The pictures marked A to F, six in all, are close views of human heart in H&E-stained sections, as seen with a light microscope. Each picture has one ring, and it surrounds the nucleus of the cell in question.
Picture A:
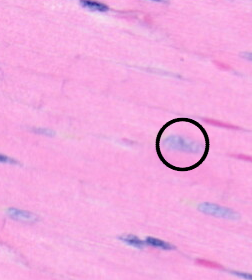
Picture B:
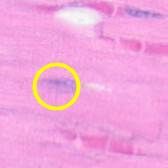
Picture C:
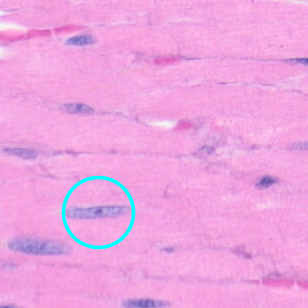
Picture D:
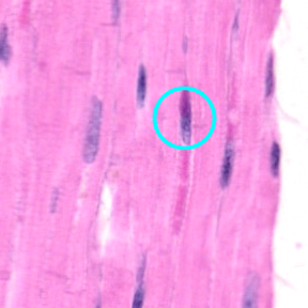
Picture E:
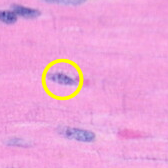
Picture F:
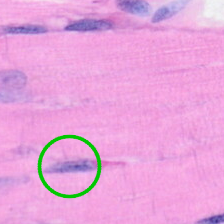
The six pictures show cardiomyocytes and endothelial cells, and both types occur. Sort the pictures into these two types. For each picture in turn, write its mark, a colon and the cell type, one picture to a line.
A: cardiomyocyte
B: cardiomyocyte
C: cardiomyocyte
D: endothelial cell
E: endothelial cell
F: endothelial cell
